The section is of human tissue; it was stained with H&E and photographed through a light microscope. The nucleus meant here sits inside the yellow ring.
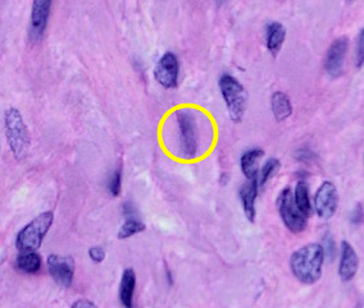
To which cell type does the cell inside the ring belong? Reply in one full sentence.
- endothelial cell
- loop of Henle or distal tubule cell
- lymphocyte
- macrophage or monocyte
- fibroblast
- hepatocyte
The cell meant here is a fibroblast.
